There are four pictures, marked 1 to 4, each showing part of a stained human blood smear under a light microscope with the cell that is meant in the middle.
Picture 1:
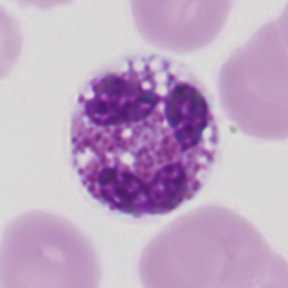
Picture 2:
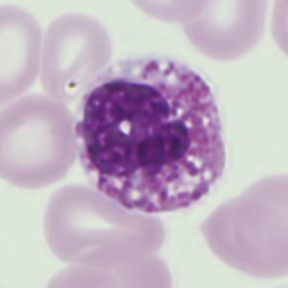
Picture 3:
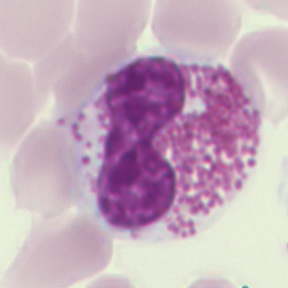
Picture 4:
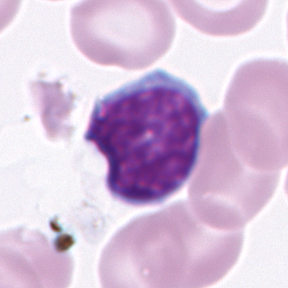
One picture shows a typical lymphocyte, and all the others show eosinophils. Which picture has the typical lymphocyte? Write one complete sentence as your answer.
The cell in picture 4 is the typical lymphocyte.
